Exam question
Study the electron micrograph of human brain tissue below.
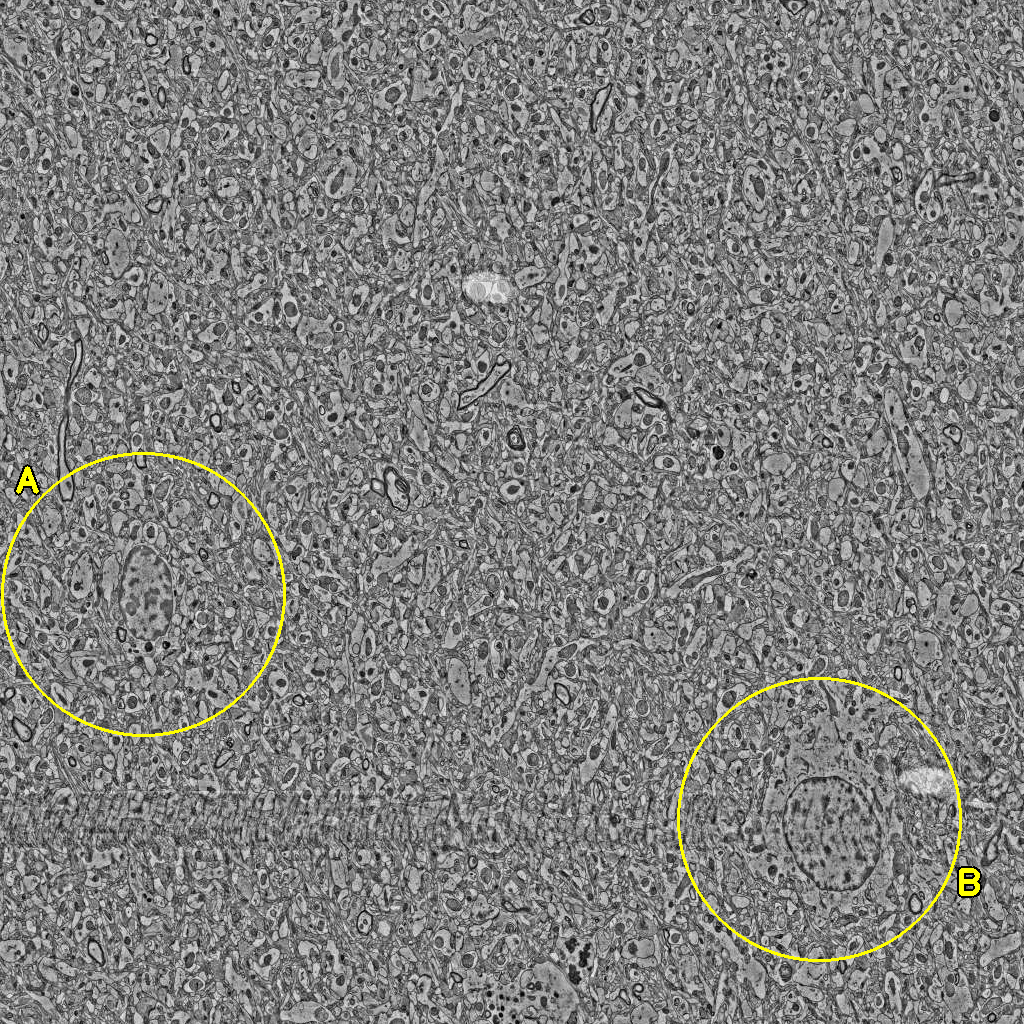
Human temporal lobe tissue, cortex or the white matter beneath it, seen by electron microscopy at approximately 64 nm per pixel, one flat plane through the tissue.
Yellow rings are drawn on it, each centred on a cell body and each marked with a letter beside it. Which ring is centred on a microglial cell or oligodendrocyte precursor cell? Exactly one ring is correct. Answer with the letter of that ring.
A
